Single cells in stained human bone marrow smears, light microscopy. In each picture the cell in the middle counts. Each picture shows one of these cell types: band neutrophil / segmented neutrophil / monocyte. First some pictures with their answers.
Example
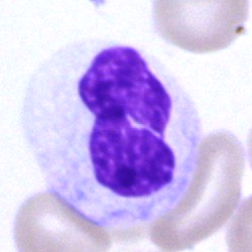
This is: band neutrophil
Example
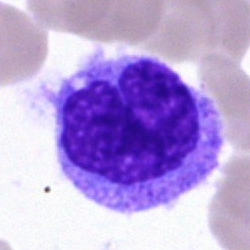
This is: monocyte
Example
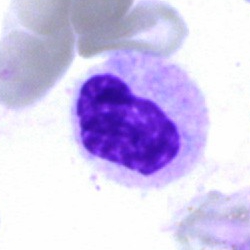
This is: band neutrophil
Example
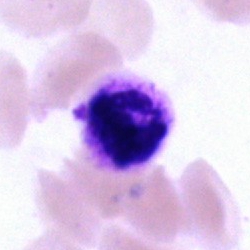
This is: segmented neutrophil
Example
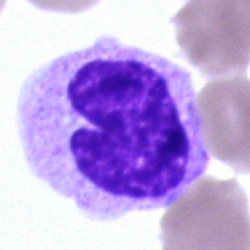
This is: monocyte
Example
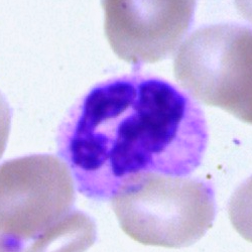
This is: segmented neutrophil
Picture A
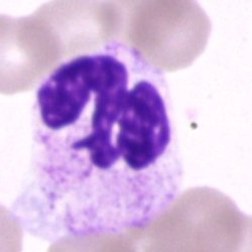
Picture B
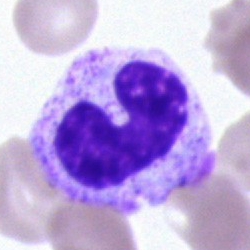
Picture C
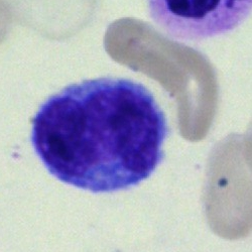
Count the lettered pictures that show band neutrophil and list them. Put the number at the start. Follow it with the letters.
1: B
